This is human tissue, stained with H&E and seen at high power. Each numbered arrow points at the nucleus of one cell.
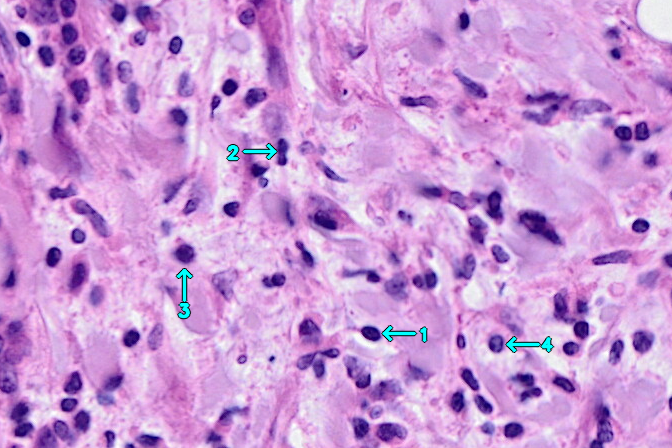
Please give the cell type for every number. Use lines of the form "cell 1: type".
cell 1: lymphocyte
cell 2: lymphocyte
cell 3: lymphocyte
cell 4: mast cell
